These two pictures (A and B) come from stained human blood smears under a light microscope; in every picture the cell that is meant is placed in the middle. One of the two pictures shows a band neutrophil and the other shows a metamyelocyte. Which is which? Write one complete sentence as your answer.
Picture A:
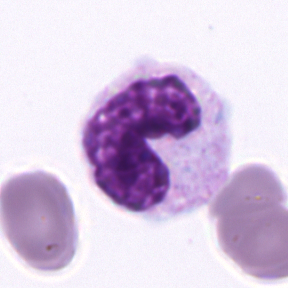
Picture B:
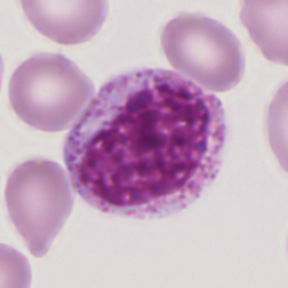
It is picture A that shows a band neutrophil, and picture B that shows a metamyelocyte.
